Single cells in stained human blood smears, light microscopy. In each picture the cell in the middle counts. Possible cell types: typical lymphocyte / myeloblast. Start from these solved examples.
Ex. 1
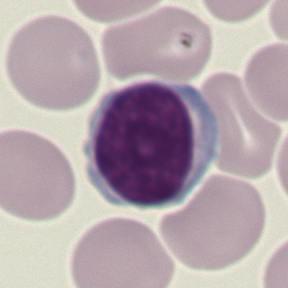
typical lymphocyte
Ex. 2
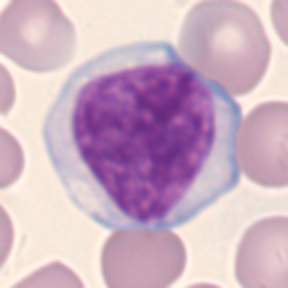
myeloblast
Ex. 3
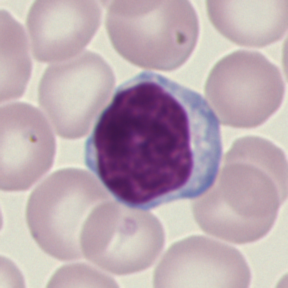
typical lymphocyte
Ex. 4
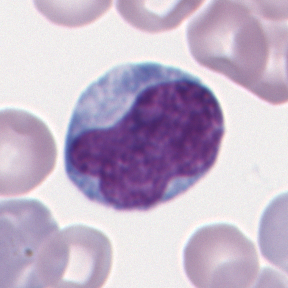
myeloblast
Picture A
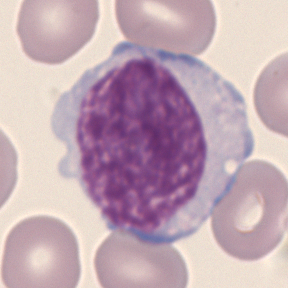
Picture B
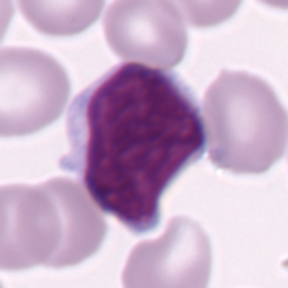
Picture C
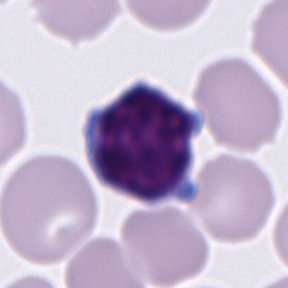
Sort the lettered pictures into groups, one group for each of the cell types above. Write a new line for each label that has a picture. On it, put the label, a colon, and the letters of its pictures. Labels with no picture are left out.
typical lymphocyte: B, C
myeloblast: A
